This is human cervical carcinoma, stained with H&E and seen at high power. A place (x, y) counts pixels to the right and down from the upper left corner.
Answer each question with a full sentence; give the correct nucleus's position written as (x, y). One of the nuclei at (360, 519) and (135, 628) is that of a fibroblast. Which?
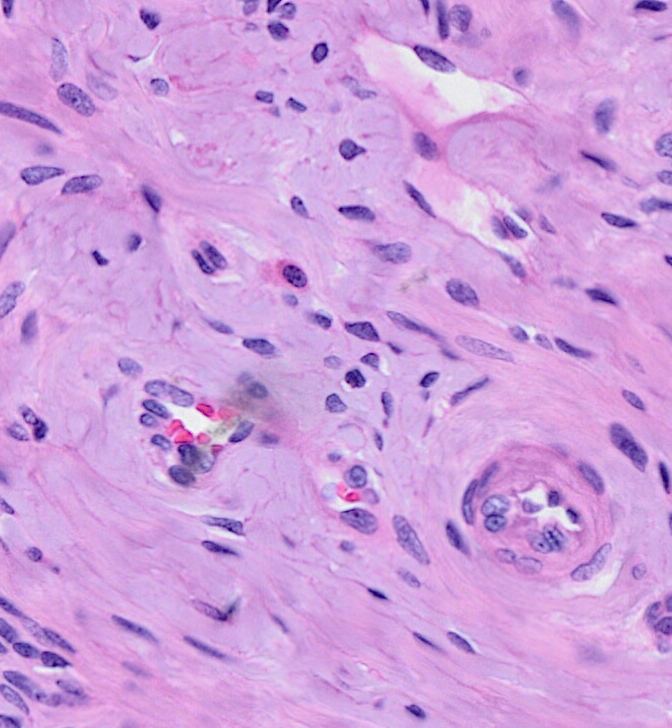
The nucleus at (135, 628) is the one of the two that belongs to a fibroblast.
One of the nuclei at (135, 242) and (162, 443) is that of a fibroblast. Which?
The nucleus whose position is (135, 242) belongs to a fibroblast.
